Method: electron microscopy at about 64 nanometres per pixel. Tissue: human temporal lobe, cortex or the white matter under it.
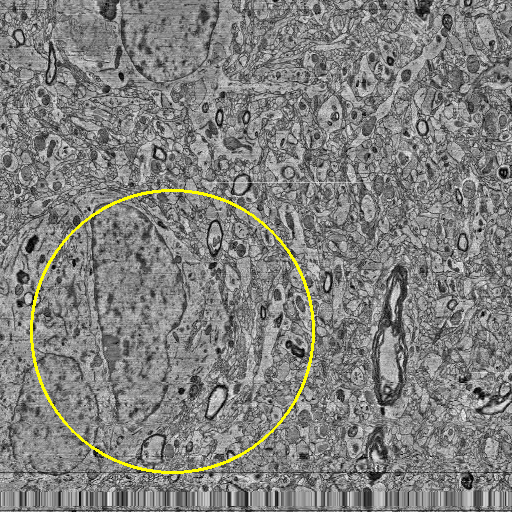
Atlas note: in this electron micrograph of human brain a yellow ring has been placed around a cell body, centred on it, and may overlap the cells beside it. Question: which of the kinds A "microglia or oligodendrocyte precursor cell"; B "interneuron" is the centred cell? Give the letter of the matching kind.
A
